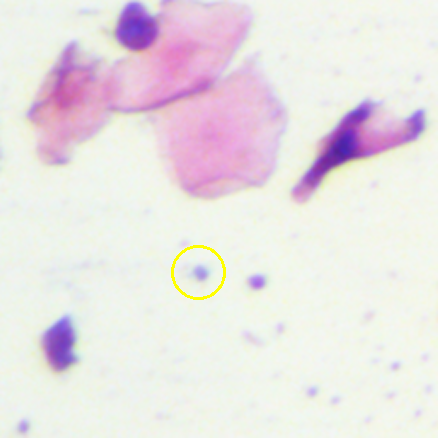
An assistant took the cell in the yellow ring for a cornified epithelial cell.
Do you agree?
I disagree, it is a leukocyte.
